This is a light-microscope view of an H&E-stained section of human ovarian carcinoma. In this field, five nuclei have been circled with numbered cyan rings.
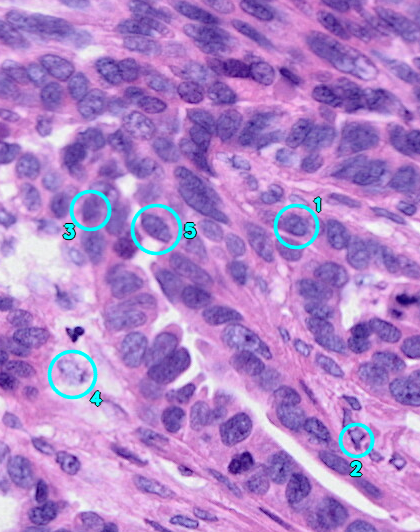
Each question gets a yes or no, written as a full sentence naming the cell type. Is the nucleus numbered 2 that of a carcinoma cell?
No, the cell carrying number 2 is a fibroblast, not a carcinoma cell.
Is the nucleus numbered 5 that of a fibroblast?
No, cell 5 counts as a carcinoma cell rather than as a fibroblast.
